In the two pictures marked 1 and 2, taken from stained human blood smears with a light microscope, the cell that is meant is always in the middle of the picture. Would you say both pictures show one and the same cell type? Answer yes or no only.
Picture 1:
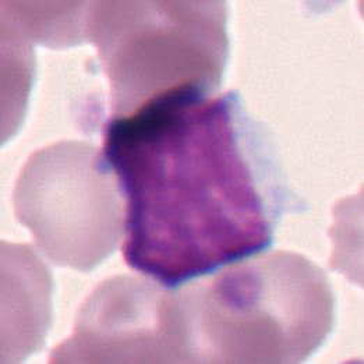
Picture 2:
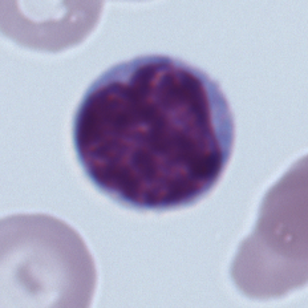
yes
